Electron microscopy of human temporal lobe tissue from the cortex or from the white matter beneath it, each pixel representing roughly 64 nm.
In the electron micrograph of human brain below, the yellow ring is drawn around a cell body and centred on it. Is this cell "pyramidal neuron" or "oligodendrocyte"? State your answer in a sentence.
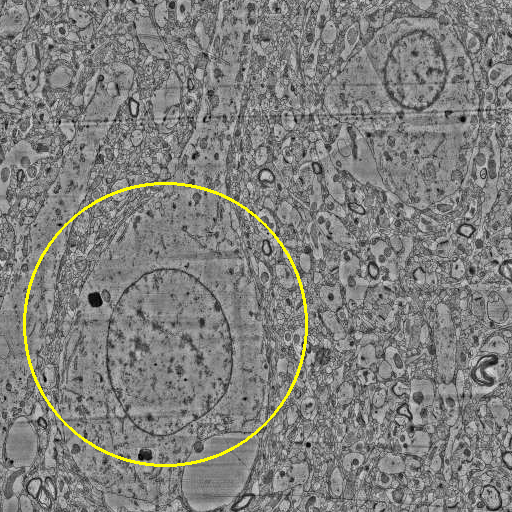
The cell in the middle of the ring is a pyramidal neuron.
